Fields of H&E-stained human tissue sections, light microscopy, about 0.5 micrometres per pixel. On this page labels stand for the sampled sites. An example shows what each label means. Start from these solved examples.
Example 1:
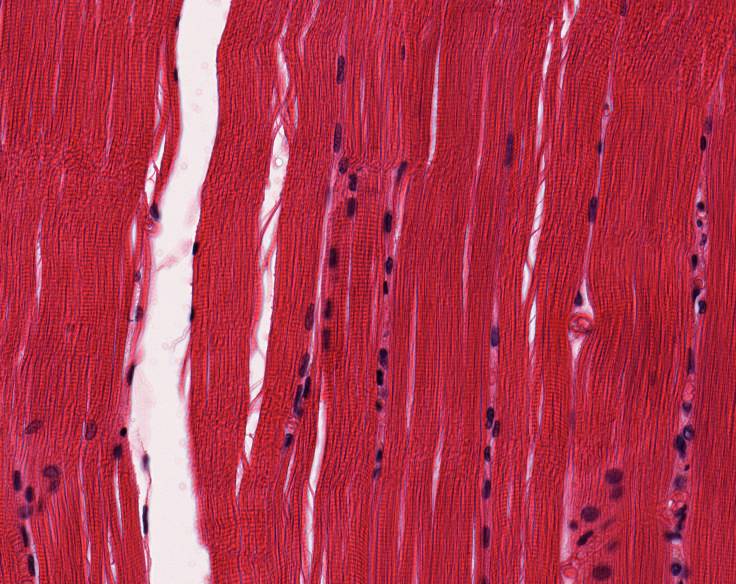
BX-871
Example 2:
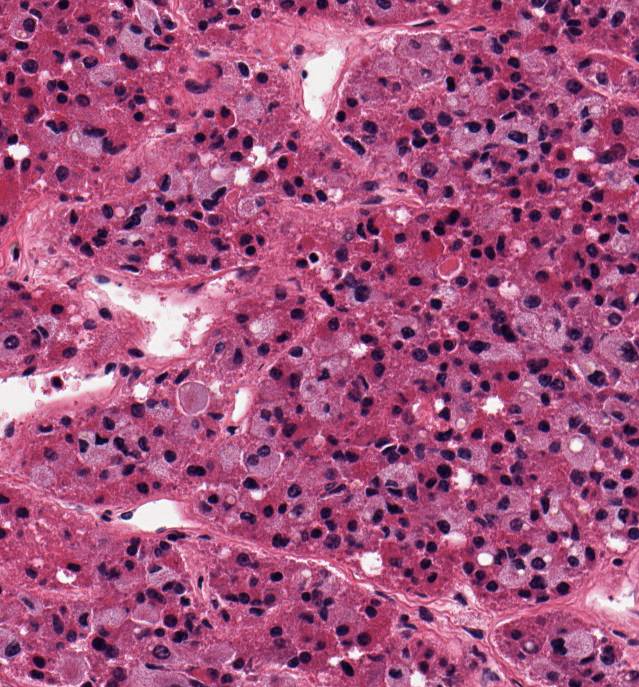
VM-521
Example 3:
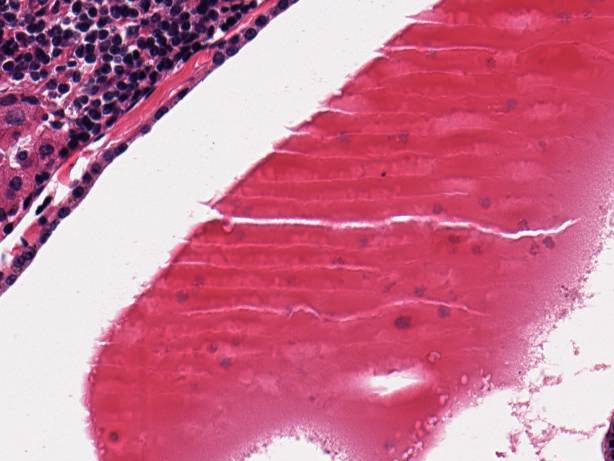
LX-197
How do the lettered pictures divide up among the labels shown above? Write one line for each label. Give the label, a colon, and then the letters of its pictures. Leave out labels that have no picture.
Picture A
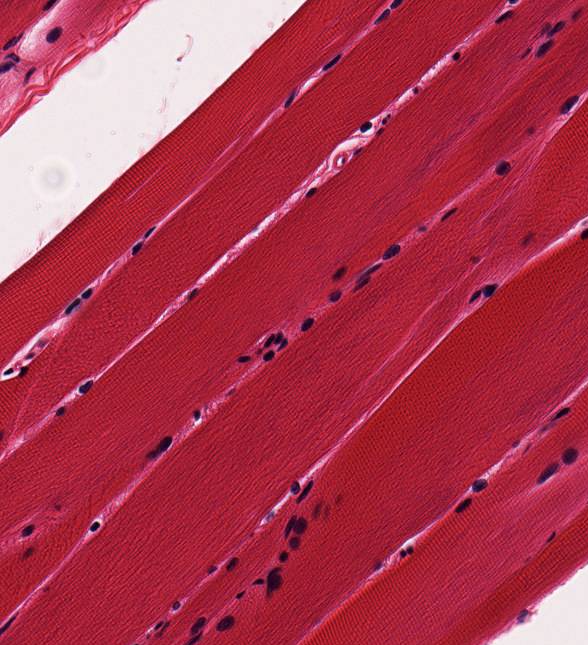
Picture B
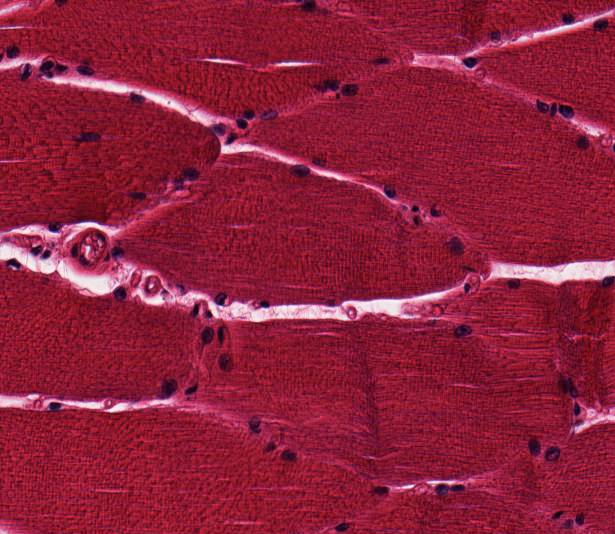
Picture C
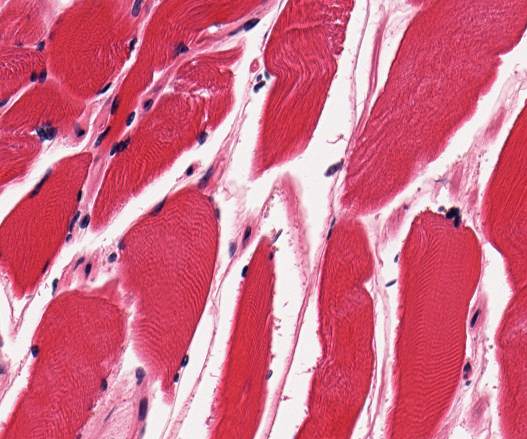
BX-871: A, B, C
